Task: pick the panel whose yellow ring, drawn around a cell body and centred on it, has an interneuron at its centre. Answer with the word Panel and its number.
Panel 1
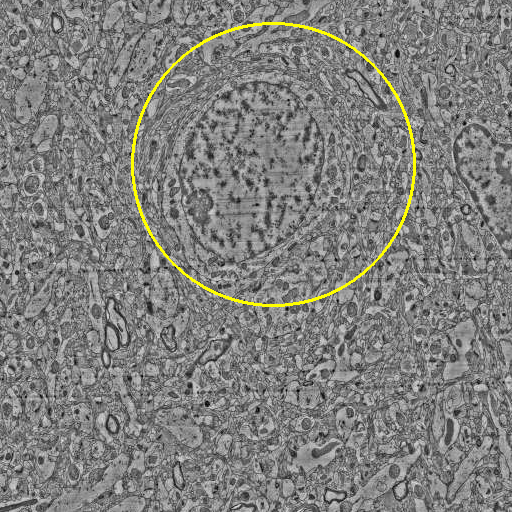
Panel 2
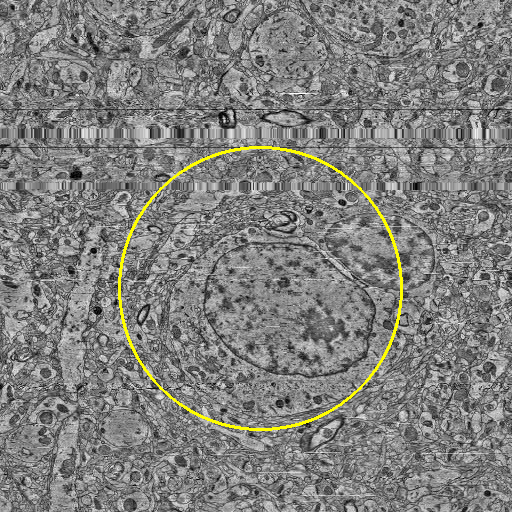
Panel 1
